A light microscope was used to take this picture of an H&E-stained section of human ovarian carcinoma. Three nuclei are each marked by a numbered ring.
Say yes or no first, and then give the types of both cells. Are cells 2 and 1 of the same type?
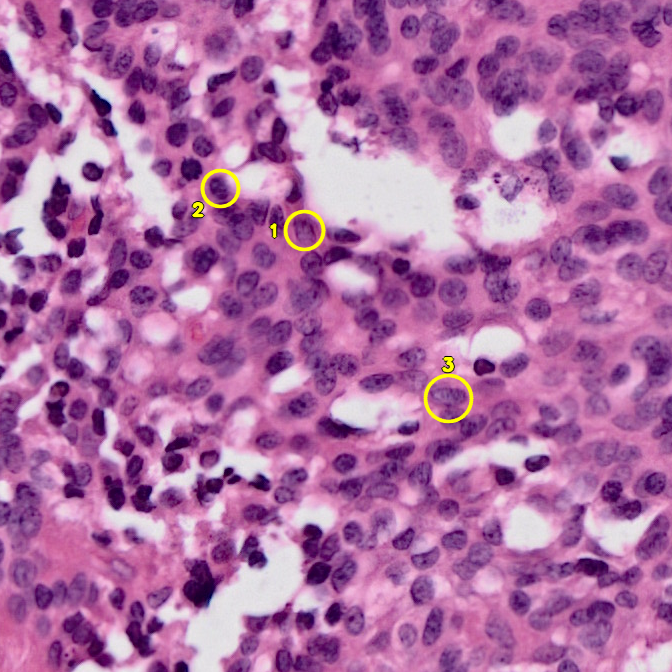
No, cell 2 is a carcinoma cell, while an endothelial cell is what cell 1 is.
